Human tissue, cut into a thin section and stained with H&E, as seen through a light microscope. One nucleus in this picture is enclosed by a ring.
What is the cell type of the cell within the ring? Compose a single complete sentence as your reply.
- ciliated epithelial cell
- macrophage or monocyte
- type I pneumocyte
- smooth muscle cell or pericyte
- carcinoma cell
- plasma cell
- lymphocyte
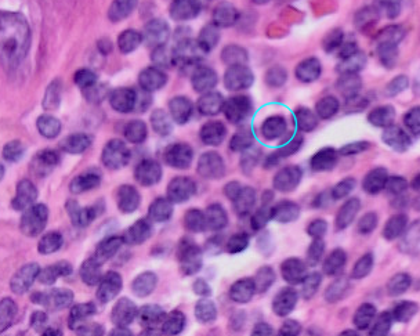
Speaking plainly, the cell within the ring is nothing other than a lymphocyte.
